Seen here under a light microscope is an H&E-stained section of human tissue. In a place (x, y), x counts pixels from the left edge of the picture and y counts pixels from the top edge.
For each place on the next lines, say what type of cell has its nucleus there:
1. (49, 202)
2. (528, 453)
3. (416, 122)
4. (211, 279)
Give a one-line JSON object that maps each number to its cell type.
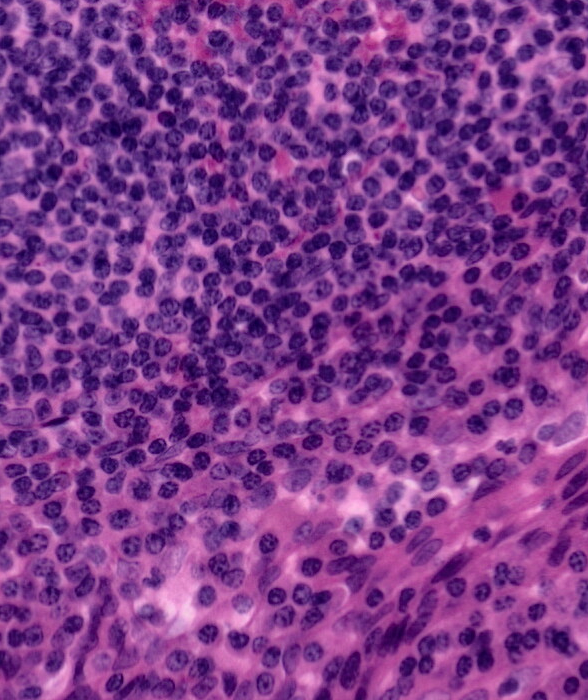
{"1": "small lymphocyte", "2": "plasma cell", "3": "small lymphocyte", "4": "small lymphocyte"}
